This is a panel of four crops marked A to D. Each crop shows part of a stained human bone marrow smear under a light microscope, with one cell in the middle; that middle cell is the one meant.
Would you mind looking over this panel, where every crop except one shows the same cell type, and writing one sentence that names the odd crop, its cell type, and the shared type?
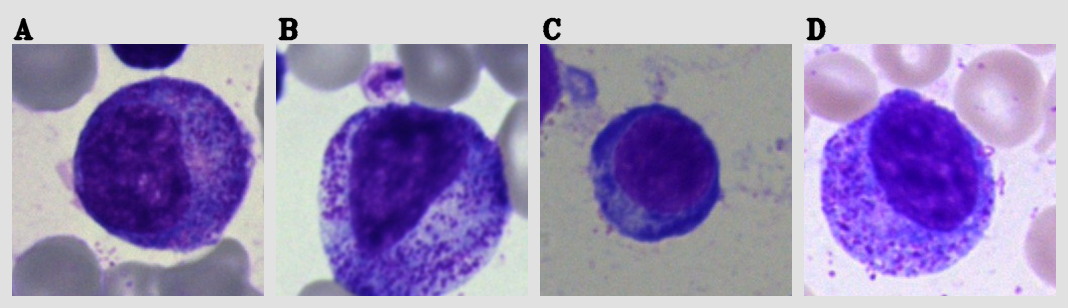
The rest of the crops show promyelocytes; crop C is the one showing a proerythroblast.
